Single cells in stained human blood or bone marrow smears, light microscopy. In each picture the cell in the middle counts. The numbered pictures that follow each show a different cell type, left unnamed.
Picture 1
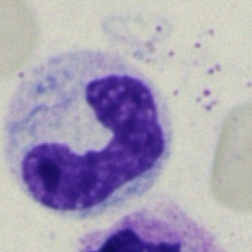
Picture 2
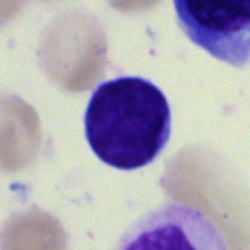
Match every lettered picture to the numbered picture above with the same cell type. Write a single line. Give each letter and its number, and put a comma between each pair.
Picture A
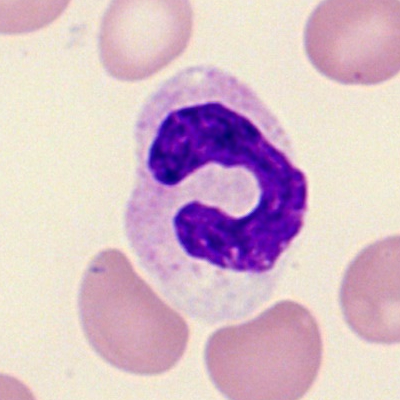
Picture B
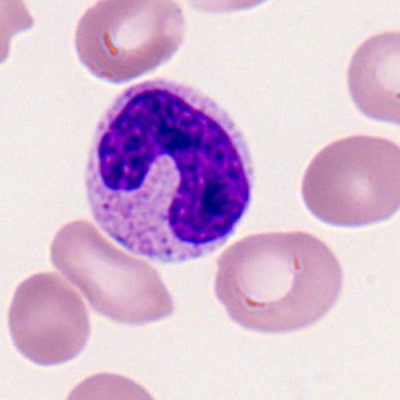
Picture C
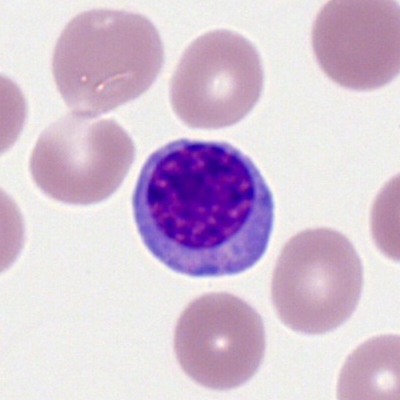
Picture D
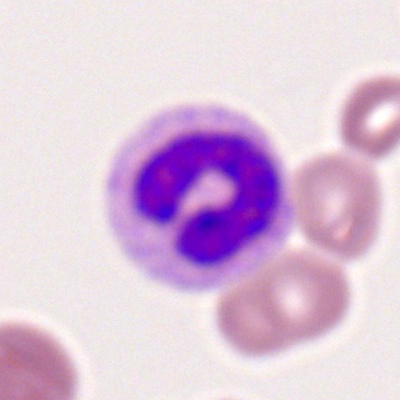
A 1, B 1, C 2, D 1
